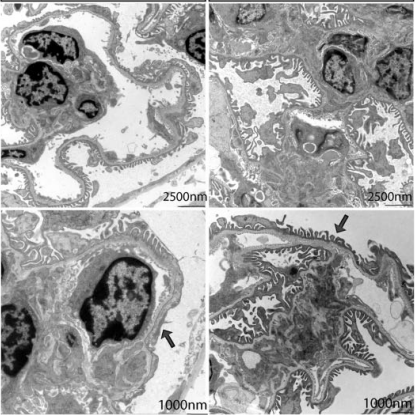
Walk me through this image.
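These are electron micrographs of glomerular capillary loops, with podocyte foot processes lining the outer side of the basement membrane and open capillary lumens beside them. Nuclei with clumped dark chromatin sit in the cells of the tuft. In the left column the covering of the basement membrane looks broader and flatter in places, whereas in the right column the foot processes stand as a regular row of small, closely spaced projections. The lower images are closer views of the same kind of filtration barrier, with an arrow directed at the membrane.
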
